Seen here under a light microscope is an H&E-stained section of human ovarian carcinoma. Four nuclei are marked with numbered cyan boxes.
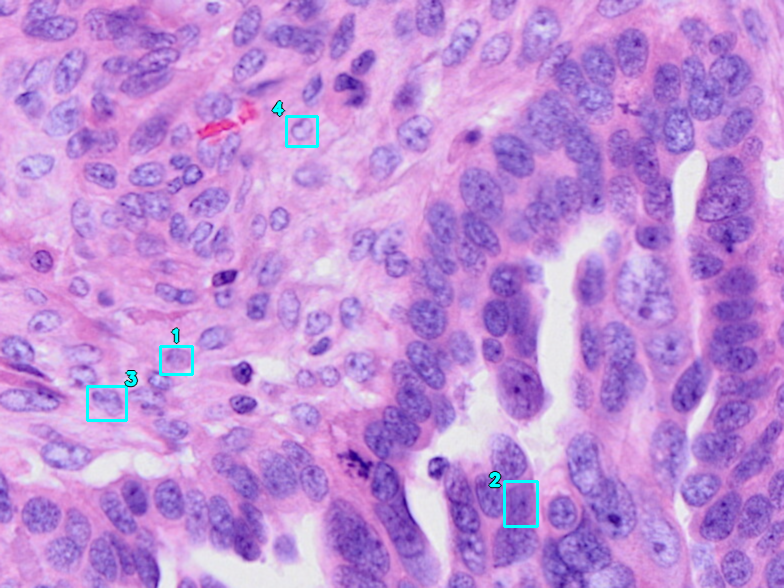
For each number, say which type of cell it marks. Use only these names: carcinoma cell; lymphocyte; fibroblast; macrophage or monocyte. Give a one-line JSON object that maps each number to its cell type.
{"1": "fibroblast", "2": "carcinoma cell", "3": "fibroblast", "4": "fibroblast"}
